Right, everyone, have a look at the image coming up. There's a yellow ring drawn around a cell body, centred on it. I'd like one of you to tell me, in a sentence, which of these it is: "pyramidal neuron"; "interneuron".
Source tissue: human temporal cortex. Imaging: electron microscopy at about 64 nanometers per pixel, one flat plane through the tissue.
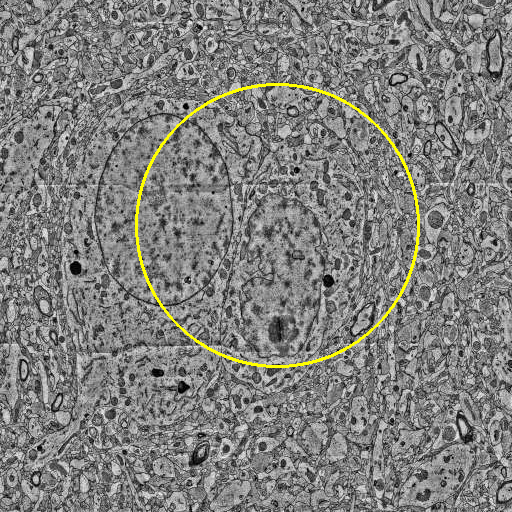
The yellow ring sits on an interneuron.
